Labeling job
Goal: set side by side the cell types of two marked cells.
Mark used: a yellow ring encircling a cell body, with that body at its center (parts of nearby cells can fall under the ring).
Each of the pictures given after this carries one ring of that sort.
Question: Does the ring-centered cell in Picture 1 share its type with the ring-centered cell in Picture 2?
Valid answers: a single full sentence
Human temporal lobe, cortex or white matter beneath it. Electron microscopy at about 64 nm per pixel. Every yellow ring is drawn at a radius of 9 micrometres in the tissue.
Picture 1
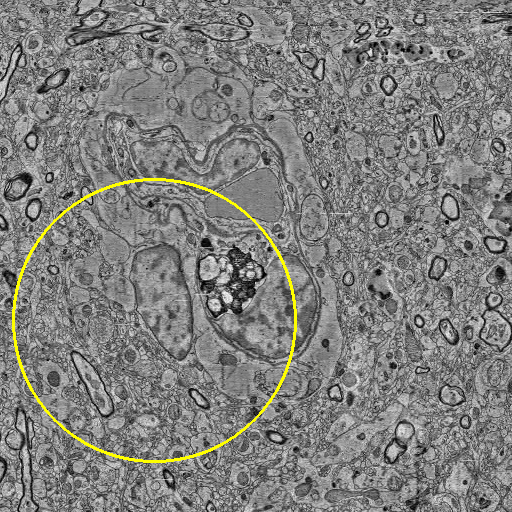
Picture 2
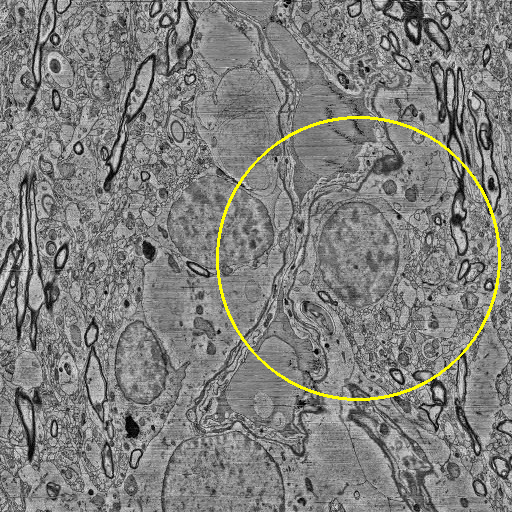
No, in Pictures 1 and 2 the cells at the ring centers have separate types.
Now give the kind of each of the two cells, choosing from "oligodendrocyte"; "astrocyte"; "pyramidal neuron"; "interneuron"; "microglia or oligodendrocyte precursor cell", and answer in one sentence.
The cell in the first picture is a microglial cell or oligodendrocyte precursor cell, and the cell in the second is an oligodendrocyte.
